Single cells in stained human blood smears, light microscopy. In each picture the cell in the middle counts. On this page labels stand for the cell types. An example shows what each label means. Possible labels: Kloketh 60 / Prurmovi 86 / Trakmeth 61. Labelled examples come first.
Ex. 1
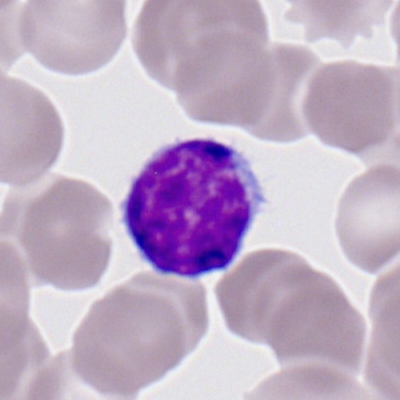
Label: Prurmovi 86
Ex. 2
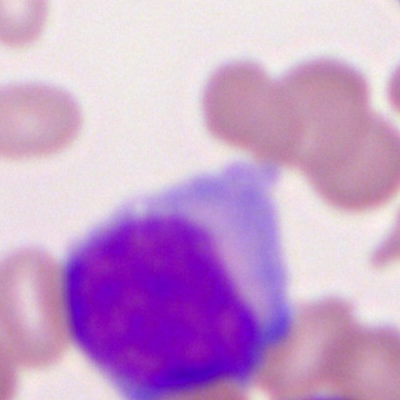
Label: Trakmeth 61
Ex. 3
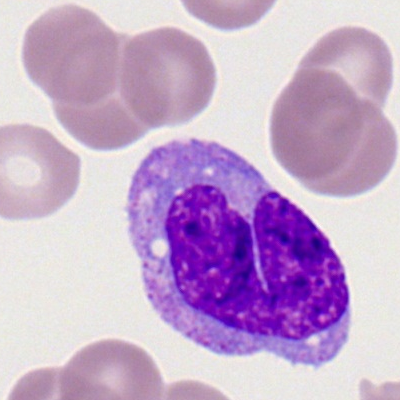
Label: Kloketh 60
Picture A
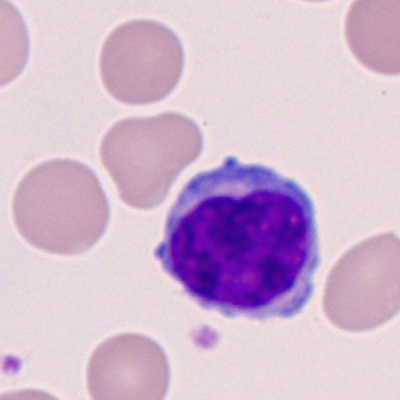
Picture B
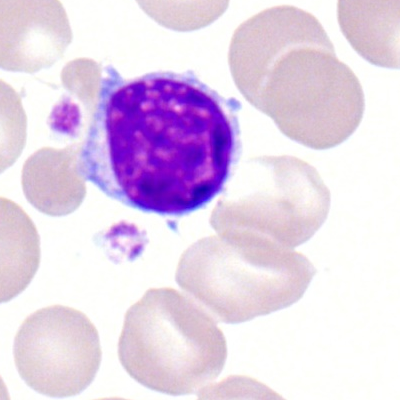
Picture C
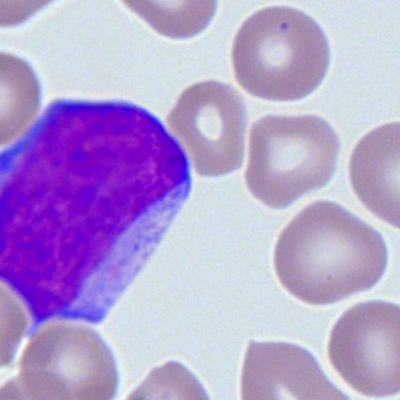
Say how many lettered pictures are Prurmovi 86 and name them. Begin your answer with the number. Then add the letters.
2: A, B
